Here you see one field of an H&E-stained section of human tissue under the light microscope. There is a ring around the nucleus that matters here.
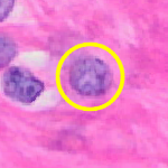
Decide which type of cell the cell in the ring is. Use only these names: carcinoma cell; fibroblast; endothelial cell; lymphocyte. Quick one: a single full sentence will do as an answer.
In this field of tissue, the cell in the ring is a carcinoma cell.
